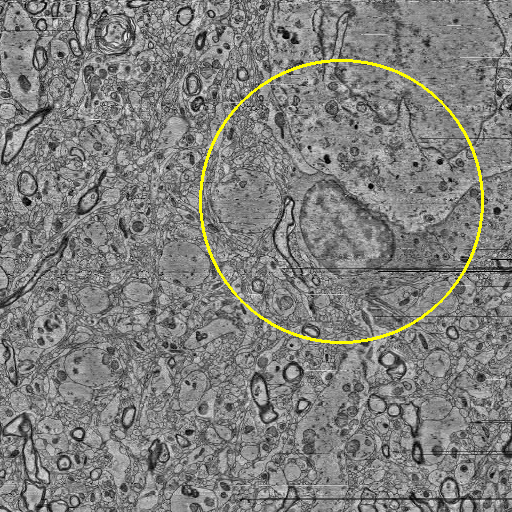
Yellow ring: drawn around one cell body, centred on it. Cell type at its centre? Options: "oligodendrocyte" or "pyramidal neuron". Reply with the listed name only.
oligodendrocyte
